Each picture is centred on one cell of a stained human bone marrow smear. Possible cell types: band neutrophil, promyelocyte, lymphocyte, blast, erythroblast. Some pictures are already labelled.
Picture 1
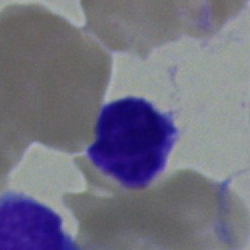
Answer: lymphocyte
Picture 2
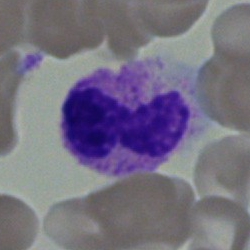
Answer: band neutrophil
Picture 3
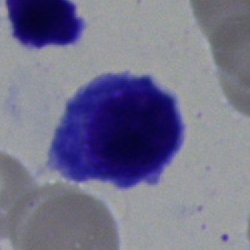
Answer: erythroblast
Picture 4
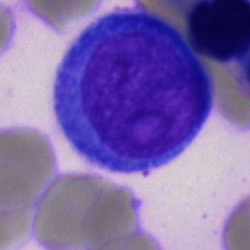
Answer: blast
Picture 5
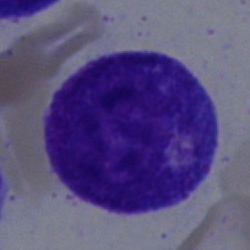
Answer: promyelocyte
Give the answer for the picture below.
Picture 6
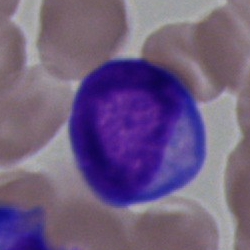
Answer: blast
